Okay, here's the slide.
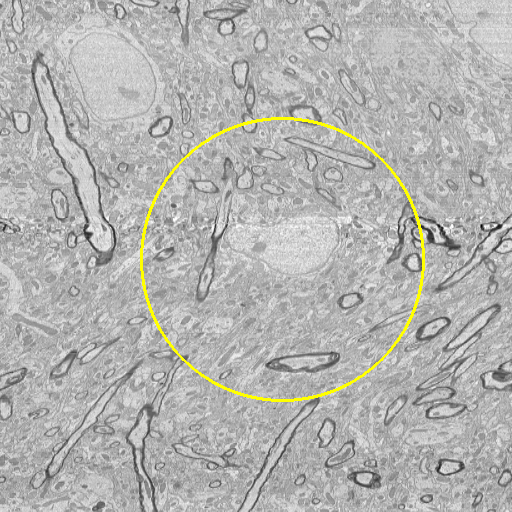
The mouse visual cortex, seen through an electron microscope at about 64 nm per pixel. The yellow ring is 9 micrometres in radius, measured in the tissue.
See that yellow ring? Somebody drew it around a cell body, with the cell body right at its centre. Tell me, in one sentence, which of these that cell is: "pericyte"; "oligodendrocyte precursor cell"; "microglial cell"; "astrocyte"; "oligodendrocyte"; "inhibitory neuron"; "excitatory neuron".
The cell in the middle of the ring is an astrocyte.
